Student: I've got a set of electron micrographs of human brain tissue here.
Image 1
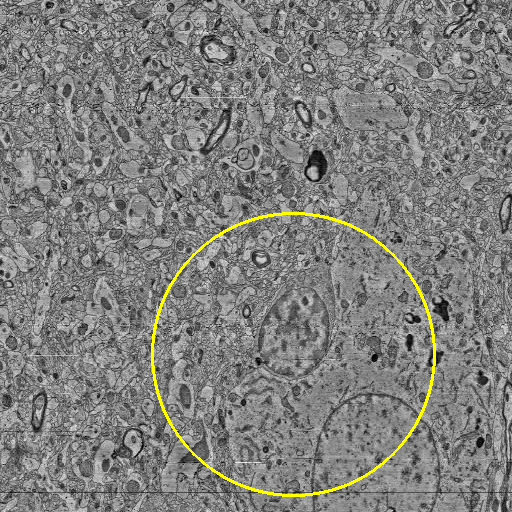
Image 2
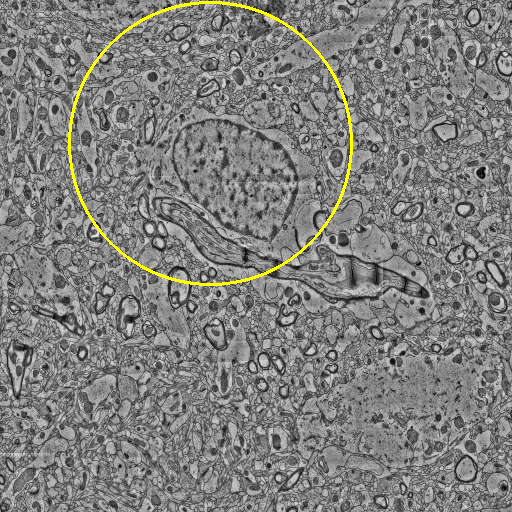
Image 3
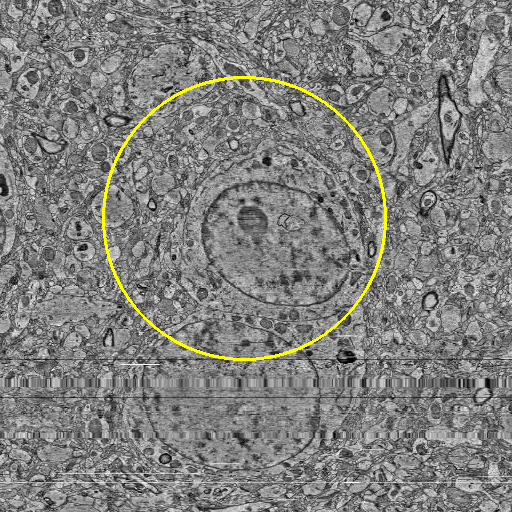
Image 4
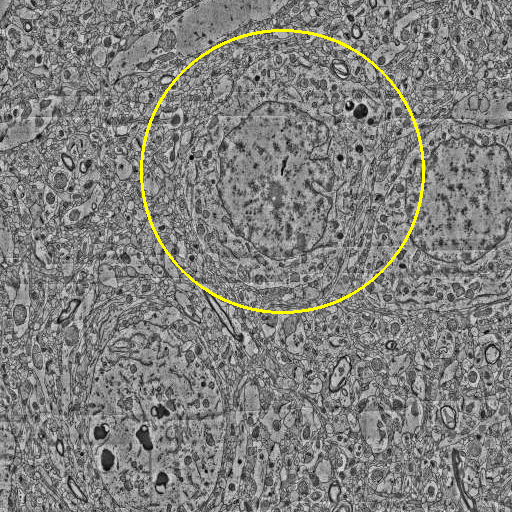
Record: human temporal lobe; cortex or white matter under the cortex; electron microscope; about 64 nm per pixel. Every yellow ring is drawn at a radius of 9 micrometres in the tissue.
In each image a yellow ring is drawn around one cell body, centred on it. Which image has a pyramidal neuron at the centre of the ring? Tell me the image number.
3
